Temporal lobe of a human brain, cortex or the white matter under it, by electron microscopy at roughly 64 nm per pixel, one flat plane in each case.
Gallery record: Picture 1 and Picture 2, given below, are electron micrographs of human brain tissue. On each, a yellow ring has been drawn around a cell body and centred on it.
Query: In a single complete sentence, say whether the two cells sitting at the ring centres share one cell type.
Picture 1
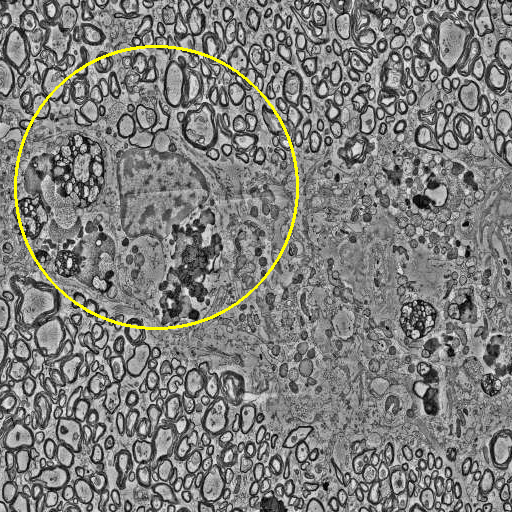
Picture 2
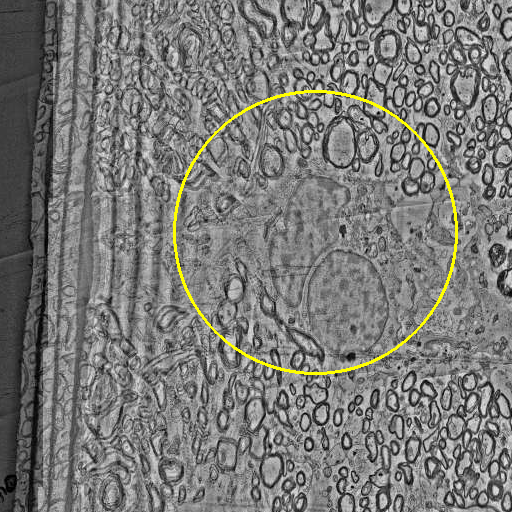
Yes, in both pictures the cell at the ring's centre is of one and the same type.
